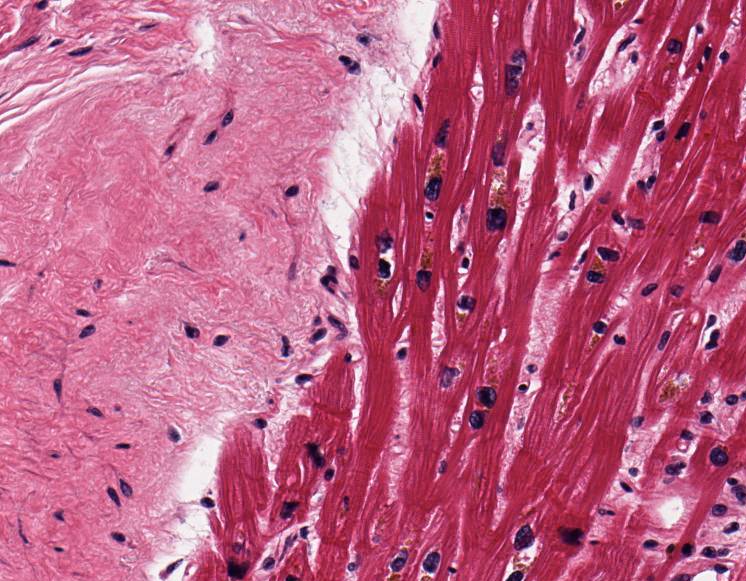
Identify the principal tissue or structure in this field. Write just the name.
myocardium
